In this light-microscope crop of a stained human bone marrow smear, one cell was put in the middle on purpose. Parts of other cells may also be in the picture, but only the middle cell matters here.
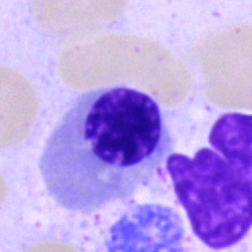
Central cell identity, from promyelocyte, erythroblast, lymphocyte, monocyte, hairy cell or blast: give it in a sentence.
The crop's centre is taken up by an erythroblast.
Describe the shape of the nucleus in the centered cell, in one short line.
Between us, the nucleus here is just one compact mass, round, oval or kidney-shaped.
